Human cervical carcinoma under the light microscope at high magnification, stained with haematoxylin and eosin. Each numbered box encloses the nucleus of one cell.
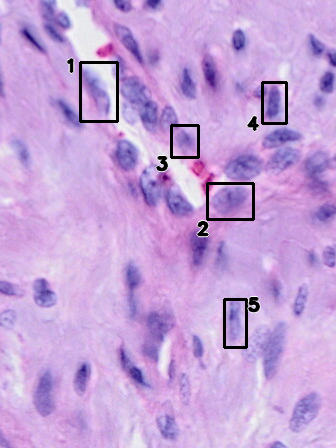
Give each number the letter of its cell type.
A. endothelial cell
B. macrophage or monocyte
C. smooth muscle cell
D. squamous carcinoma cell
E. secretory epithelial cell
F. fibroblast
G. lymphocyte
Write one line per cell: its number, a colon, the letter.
1: A
2: A
3: A
4: F
5: F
